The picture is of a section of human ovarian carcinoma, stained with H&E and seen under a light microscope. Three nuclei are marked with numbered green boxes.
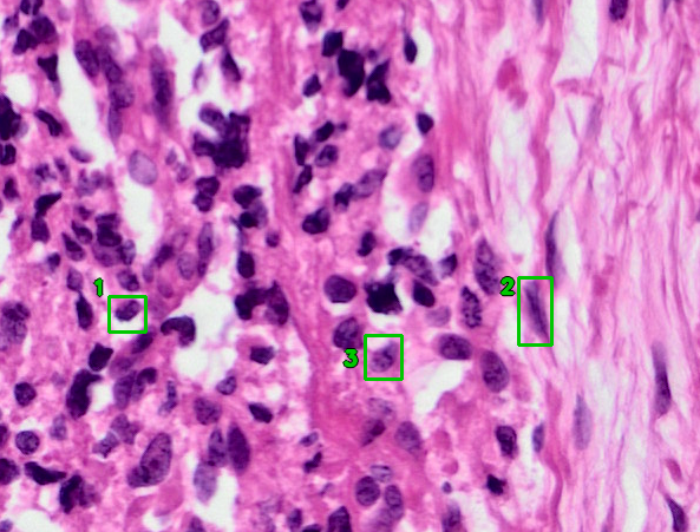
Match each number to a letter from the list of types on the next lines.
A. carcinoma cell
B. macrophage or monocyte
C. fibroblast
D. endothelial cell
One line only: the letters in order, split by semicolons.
A; C; B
